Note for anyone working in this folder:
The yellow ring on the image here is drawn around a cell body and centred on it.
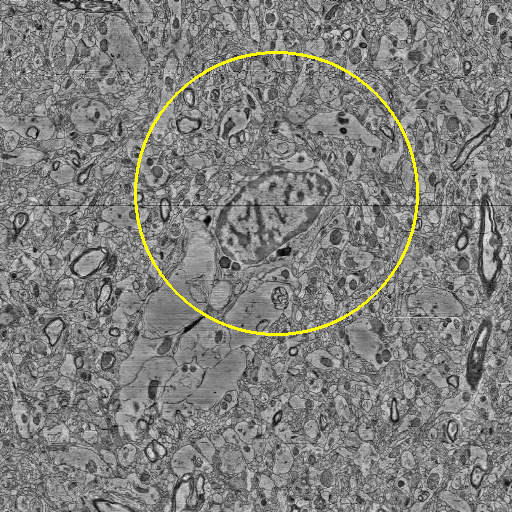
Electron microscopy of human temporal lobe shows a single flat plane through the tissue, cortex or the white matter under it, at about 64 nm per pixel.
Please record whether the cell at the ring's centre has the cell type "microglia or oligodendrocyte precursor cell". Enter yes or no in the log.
yes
